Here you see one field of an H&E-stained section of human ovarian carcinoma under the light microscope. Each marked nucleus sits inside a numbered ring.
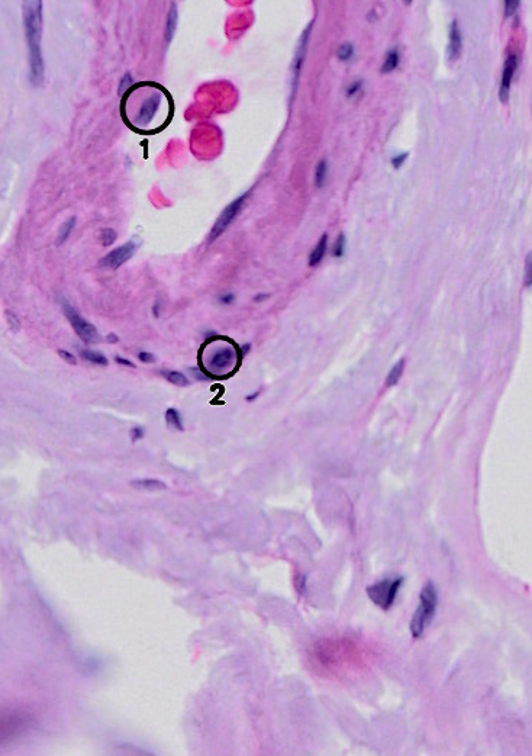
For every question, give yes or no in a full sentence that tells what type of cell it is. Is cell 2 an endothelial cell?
No, number 2 corresponds to a smooth muscle cell, not an endothelial cell.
